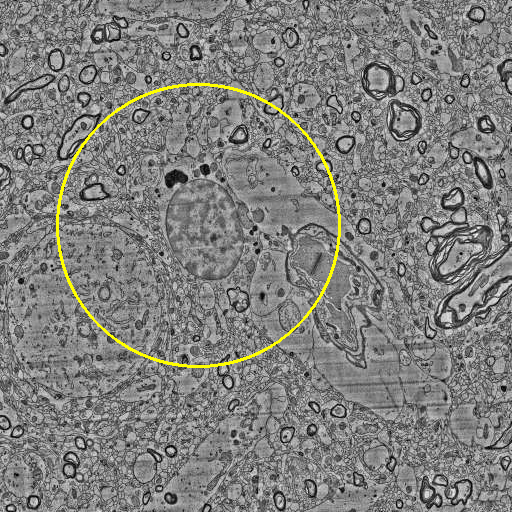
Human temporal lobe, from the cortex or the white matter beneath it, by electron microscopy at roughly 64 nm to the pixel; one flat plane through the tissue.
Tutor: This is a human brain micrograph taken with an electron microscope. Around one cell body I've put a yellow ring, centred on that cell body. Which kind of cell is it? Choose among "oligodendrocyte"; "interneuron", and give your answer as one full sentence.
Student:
Going by your list, the cell centred in the yellow ring is an oligodendrocyte.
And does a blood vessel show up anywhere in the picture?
Yes, a blood vessel can be seen.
